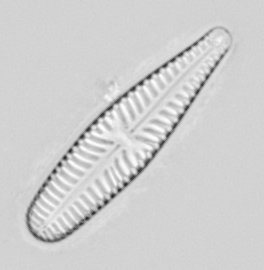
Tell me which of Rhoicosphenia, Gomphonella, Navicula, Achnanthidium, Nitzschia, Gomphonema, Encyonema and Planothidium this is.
The picture shows Gomphonella.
